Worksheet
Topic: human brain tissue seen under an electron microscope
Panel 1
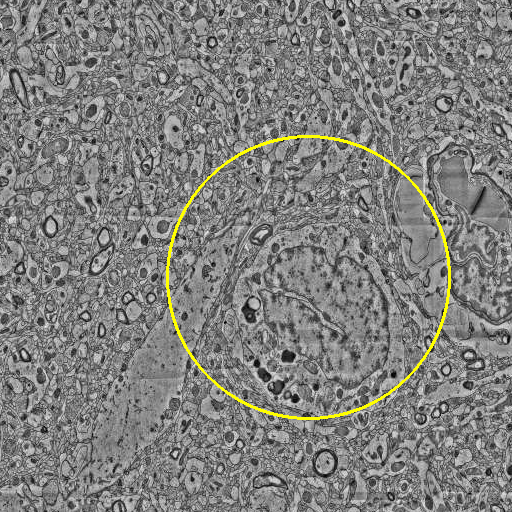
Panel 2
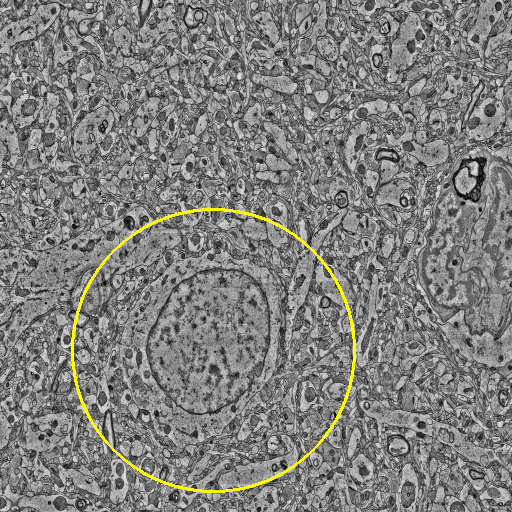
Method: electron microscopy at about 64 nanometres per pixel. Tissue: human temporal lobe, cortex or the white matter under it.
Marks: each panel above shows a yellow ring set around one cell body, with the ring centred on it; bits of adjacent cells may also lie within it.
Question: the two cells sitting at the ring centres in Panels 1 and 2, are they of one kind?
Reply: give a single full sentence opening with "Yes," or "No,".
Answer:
Yes, the two ring-centre cells in Panel 1 and Panel 2 are of one kind.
